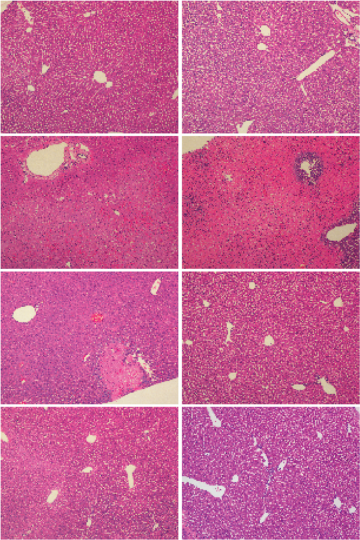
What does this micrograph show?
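These are low-power sections of liver stained pink and purple. In the top row the tissue is uniform: plates of pink hepatocytes with small purple nuclei radiate between evenly scattered, round or branching vessel lumens. In the second row large parts of the tissue are paler or more solidly eosinophilic and lose the fine plate pattern, and dense purple clusters of small cells gather around a vessel. The lower rows look mostly like the top row, with only a small pale, structureless patch beside a vessel in one image. The images differ mainly in how much of the tissue keeps the regular cord architecture.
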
